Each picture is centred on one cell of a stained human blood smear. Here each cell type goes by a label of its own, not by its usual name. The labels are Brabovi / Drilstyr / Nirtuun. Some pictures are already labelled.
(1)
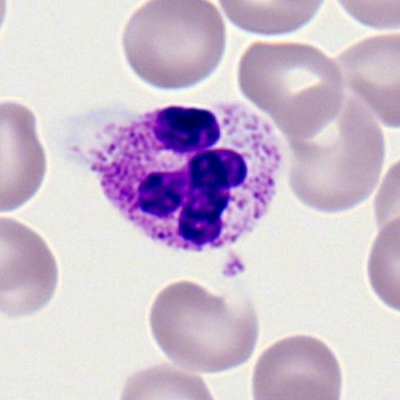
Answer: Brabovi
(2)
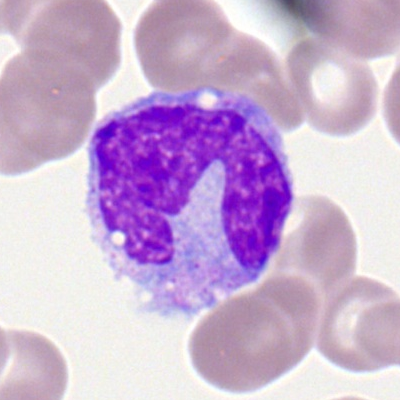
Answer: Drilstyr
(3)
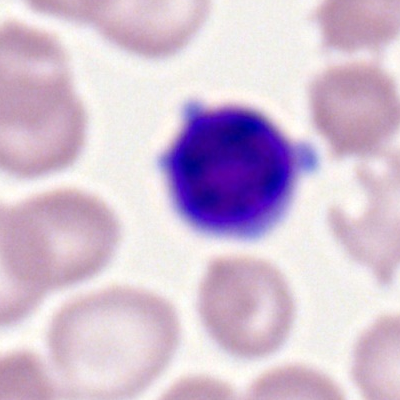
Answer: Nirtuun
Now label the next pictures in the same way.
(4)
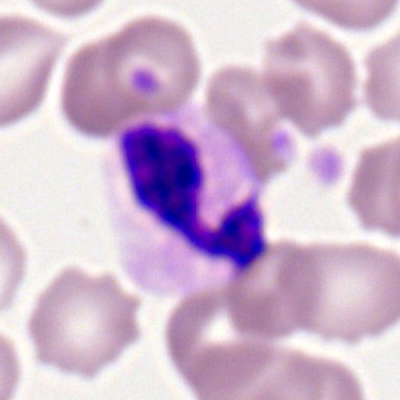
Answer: Brabovi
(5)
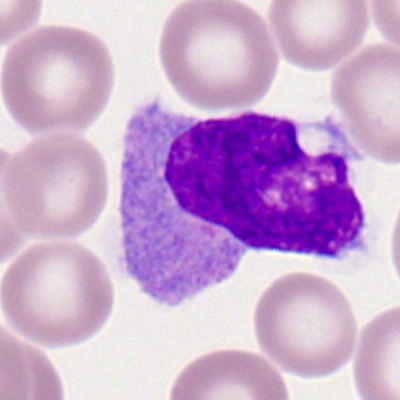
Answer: Drilstyr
